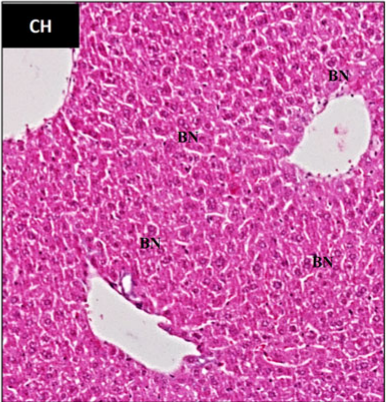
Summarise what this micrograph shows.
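This is liver tissue with an appearance close to normal. Pink polygonal hepatocytes are arranged in cords that radiate around several pale, empty vein lumens. The sinusoids between the cords are only narrow white slits. Each hepatocyte has evenly pink cytoplasm and a round purple nucleus, and scattered among them are cells with two nuclei, the binuclear hepatocytes. Neither wide sinusoidal spaces nor clusters of shrunken dark nuclei stand out.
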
